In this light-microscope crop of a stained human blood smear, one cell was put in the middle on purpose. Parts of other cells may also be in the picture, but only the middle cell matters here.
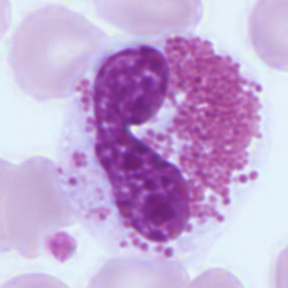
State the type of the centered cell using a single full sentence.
The cell in the middle of this crop is an eosinophil.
